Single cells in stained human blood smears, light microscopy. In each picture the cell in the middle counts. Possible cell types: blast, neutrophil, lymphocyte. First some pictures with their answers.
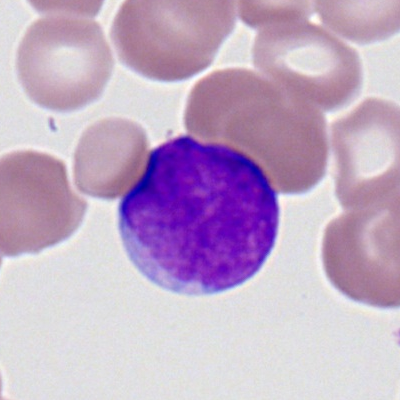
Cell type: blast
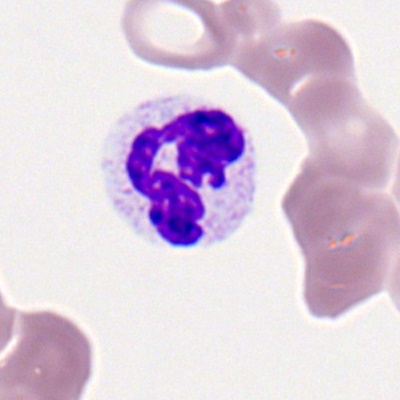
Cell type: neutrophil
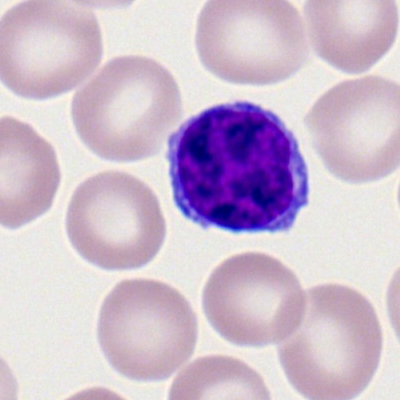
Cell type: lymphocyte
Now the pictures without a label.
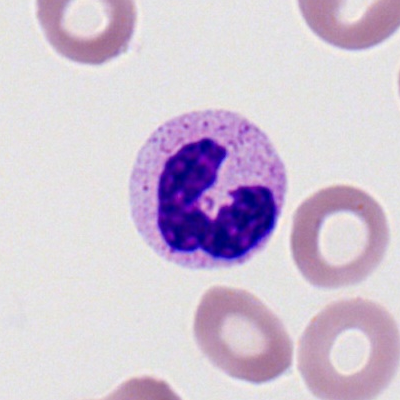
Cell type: neutrophil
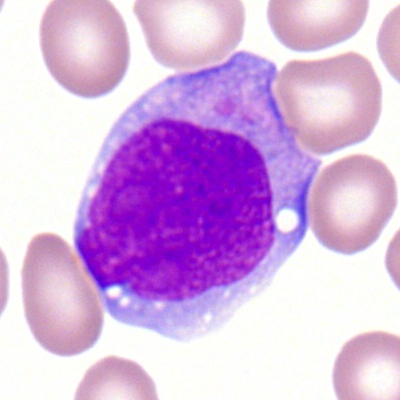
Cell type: blast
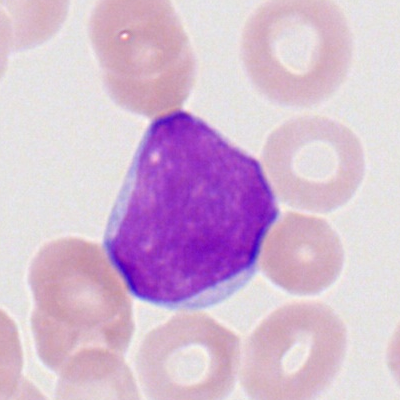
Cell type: blast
